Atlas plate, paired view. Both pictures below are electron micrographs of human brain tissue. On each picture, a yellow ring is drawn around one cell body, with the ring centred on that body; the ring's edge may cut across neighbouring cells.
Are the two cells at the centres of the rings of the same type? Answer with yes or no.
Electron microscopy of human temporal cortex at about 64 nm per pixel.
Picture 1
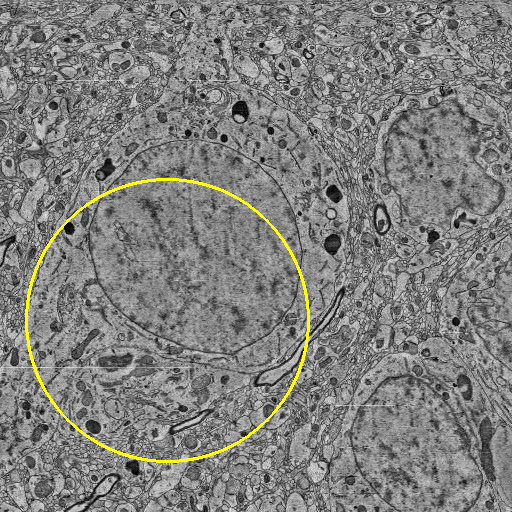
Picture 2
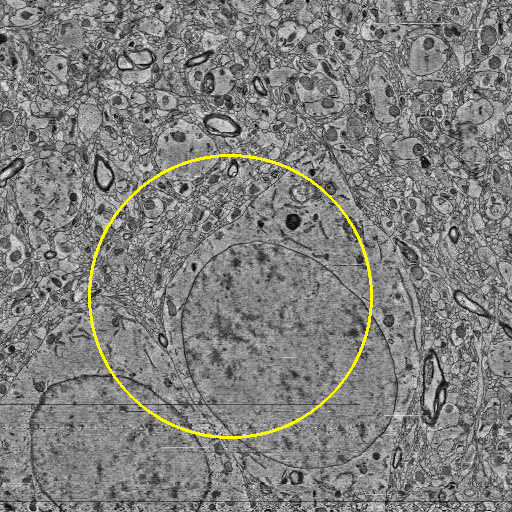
yes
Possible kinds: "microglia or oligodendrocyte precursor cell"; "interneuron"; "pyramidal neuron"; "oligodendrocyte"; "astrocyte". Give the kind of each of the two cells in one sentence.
Each of the two pictures has a pyramidal neuron at the ring centre.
